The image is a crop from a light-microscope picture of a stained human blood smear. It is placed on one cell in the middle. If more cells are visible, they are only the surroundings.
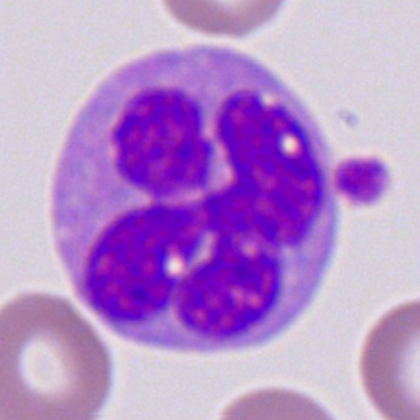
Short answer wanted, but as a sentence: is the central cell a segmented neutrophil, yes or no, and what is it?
No, the cell in the middle is a monocyte; it is not a segmented neutrophil.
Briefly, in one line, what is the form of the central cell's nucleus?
In short, this nucleus is segmented into two or more parts.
